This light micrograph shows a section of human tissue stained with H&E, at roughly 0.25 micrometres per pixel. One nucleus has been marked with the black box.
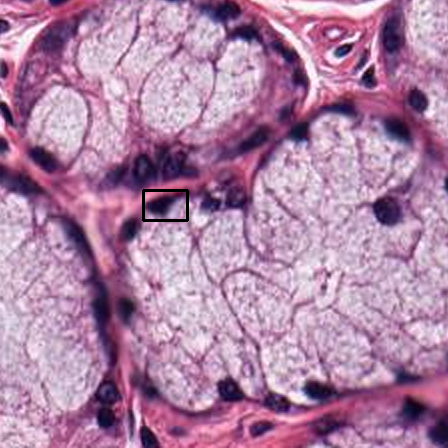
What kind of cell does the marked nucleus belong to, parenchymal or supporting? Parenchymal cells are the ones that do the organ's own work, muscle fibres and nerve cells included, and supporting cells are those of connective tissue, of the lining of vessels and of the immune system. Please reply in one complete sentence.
The owner of the marked nucleus is a parenchymal cell, namely a mucous gland cell.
